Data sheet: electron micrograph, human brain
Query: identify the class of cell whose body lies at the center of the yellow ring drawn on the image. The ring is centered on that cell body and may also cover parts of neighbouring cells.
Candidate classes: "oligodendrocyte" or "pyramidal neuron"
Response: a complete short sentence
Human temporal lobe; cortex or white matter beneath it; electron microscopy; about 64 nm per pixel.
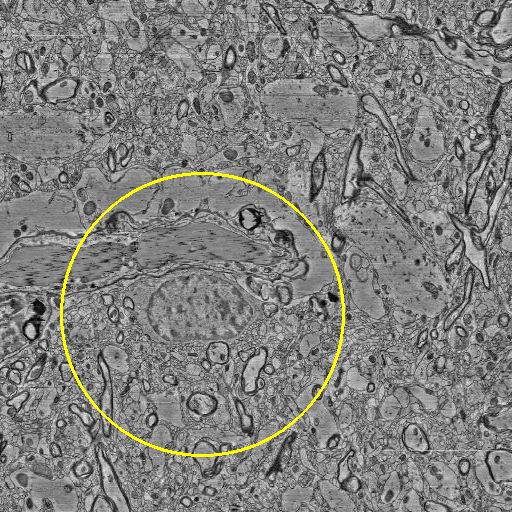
At the center of the ring lies an oligodendrocyte.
